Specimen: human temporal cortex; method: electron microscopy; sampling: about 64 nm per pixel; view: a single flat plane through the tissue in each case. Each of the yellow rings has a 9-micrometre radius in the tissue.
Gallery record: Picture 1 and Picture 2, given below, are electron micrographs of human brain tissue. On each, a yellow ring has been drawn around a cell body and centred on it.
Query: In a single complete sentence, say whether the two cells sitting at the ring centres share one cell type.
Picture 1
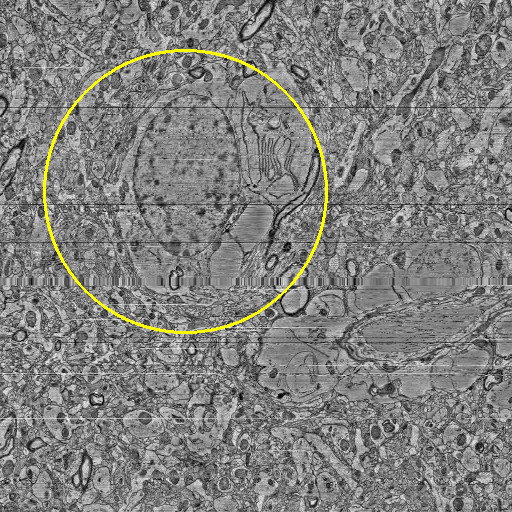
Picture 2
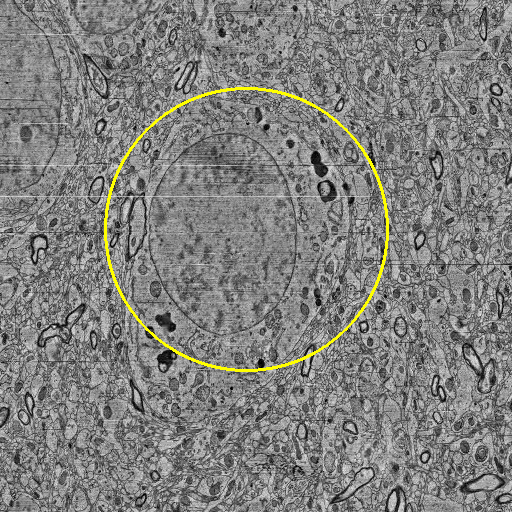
No, in the two pictures the cells at the rings' centres are of two separate types.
